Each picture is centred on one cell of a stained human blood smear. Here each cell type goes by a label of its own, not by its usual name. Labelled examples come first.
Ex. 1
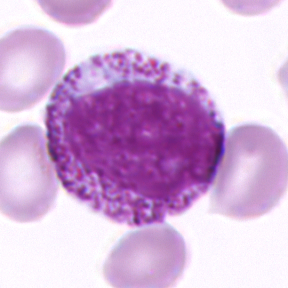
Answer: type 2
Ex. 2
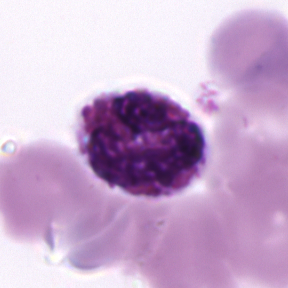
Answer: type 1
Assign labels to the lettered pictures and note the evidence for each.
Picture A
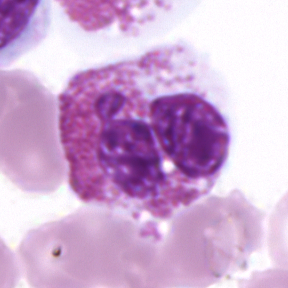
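type 1. Evidence: The nucleus is divided into two large lobes lying side by side.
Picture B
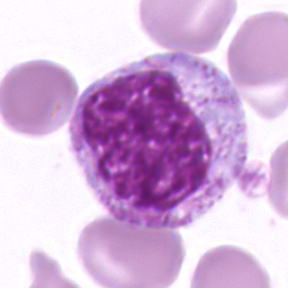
type 2. Evidence: Fine purple granules are scattered through the cytoplasm.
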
